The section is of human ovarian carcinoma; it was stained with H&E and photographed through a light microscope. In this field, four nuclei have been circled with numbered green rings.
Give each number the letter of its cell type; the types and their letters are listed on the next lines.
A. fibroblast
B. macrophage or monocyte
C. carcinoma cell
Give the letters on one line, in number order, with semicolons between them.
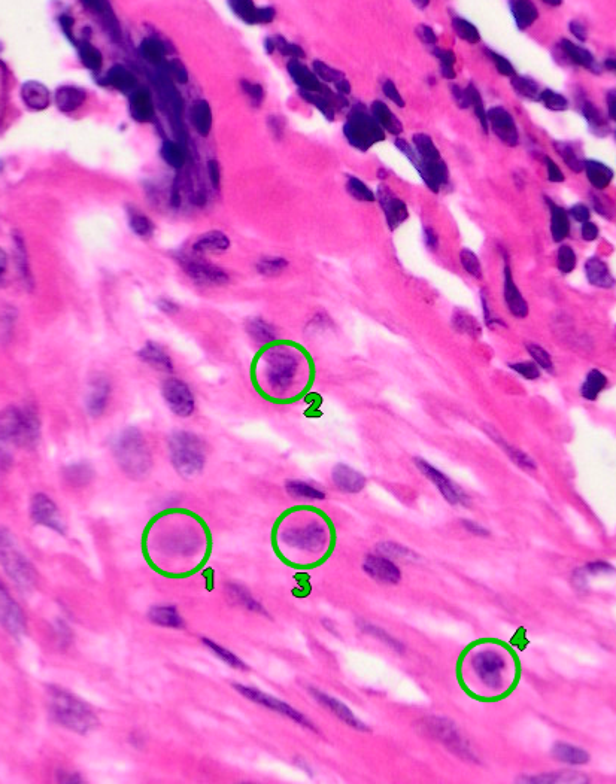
A; A; A; B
